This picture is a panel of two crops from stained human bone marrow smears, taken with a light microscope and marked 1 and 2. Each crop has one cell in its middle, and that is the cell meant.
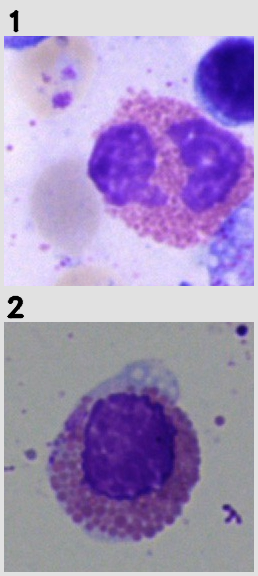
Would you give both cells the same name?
yes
